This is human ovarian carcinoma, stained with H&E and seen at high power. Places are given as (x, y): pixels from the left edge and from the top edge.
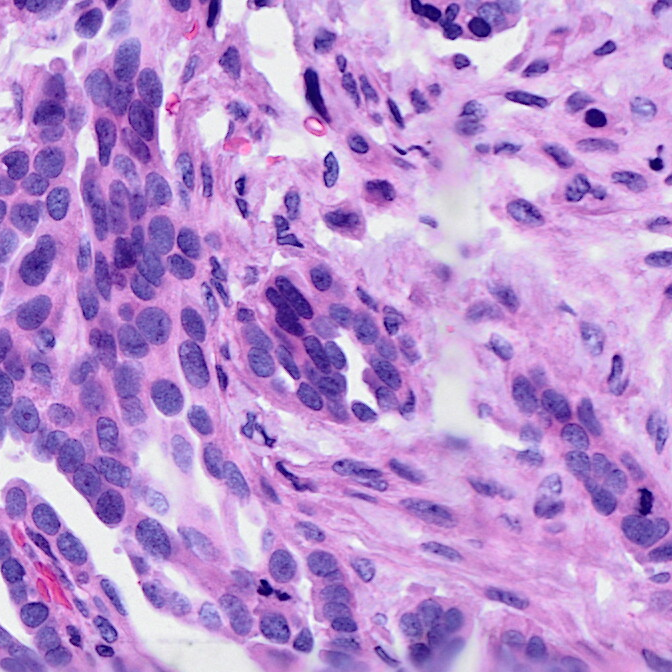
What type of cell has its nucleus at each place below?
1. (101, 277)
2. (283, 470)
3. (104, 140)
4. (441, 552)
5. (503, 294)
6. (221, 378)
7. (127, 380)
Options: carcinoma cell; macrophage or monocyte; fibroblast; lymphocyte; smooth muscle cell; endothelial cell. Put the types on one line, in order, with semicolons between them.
carcinoma cell; fibroblast; carcinoma cell; fibroblast; fibroblast; fibroblast; carcinoma cell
